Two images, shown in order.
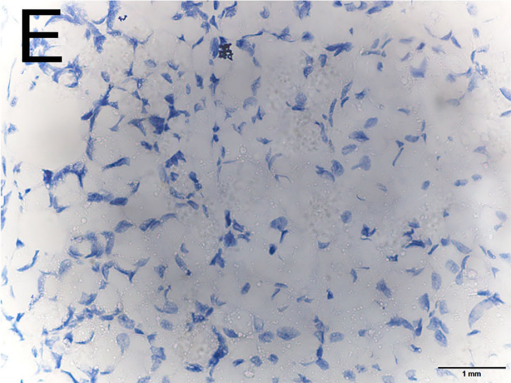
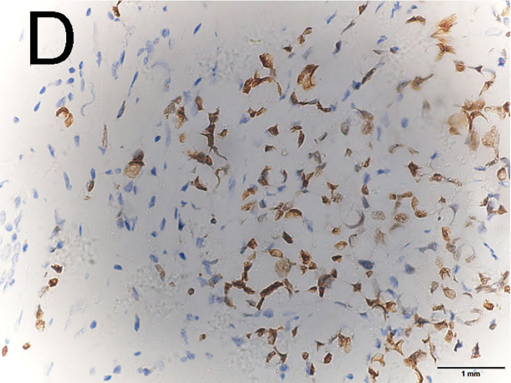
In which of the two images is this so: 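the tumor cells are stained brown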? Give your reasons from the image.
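First image: all cells are blue only, with no brown stain. Second image: many scattered cells are stained brown among blue-stained cells.
The second image.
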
